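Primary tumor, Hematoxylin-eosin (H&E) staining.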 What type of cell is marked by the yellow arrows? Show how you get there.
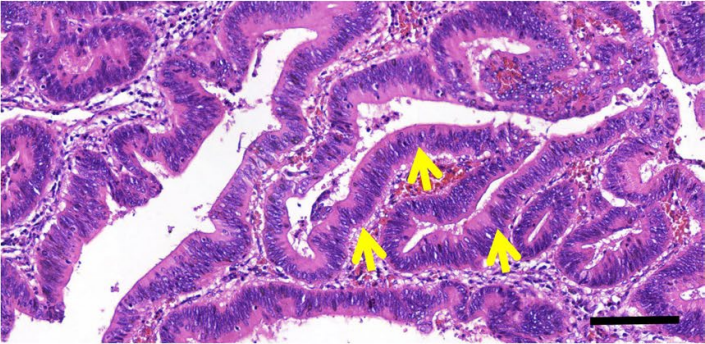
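Tall columnar cells. The yellow arrows point at the epithelium lining the tubules. The lining cells are tall, with elongated, dark nuclei crowded at different heights.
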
